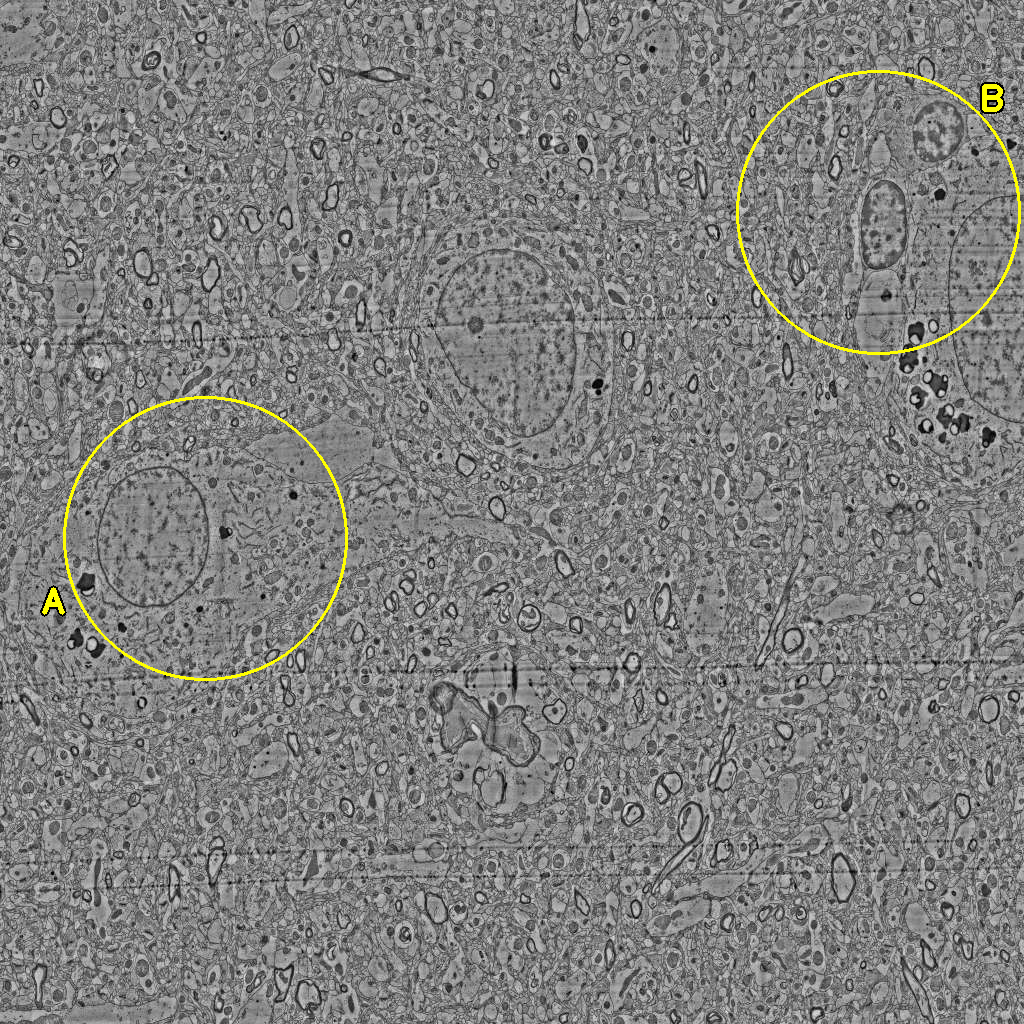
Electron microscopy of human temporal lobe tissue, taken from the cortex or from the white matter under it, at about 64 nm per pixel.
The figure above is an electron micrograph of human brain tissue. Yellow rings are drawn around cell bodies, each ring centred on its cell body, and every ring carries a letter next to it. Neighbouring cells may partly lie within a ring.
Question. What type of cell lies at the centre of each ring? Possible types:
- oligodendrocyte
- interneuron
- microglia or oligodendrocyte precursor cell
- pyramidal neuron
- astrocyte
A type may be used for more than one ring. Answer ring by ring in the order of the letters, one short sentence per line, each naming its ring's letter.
In ring A, the central cell is a pyramidal neuron.
In ring B, the central cell is a microglial cell or oligodendrocyte precursor cell.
